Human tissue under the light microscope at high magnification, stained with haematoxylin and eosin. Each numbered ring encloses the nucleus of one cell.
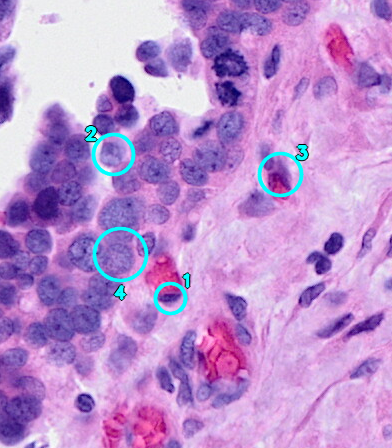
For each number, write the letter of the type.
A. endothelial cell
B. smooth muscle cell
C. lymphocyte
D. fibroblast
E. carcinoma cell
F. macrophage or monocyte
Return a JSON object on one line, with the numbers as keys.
{"1": "A", "2": "E", "3": "A", "4": "E"}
